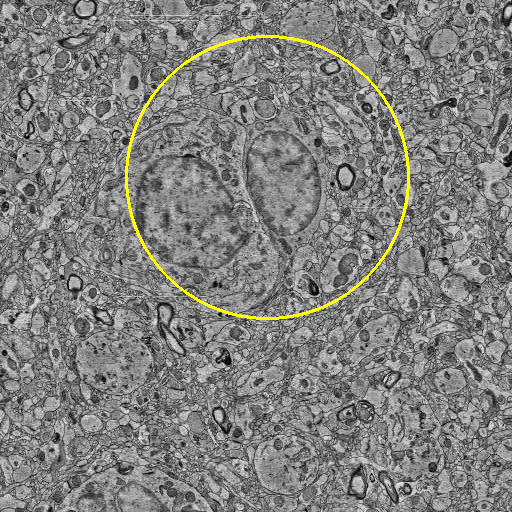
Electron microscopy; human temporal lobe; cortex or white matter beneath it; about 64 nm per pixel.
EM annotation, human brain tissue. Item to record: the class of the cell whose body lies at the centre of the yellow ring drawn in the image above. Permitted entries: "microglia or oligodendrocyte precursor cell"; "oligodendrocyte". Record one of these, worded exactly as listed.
oligodendrocyte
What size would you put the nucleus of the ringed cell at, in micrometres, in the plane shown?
The nucleus measures about 7 by 4 micrometres, so it is clearly longer than it is wide in this plane.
